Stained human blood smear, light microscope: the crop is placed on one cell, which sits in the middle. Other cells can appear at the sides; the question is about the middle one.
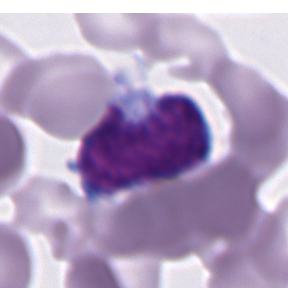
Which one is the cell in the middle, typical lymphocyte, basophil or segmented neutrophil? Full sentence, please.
Seen at the centre of the crop is a typical lymphocyte.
